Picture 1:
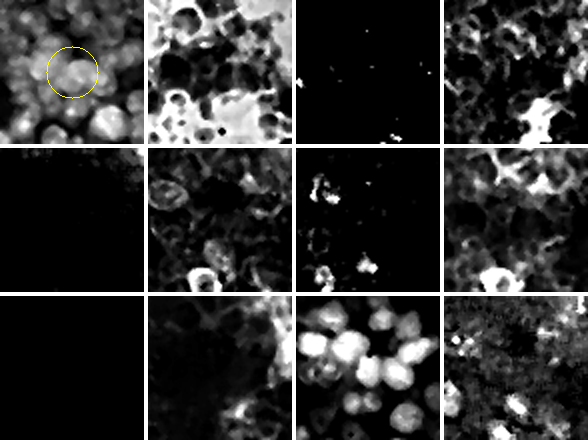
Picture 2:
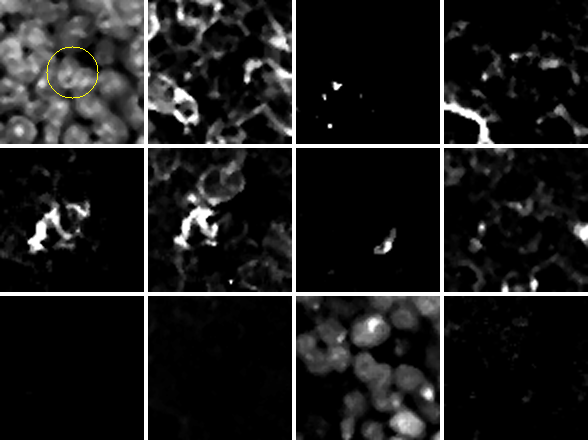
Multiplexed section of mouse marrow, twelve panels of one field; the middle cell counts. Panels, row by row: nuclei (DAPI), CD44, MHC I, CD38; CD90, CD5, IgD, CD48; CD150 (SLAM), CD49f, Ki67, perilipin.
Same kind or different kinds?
Same: erythroblasts.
